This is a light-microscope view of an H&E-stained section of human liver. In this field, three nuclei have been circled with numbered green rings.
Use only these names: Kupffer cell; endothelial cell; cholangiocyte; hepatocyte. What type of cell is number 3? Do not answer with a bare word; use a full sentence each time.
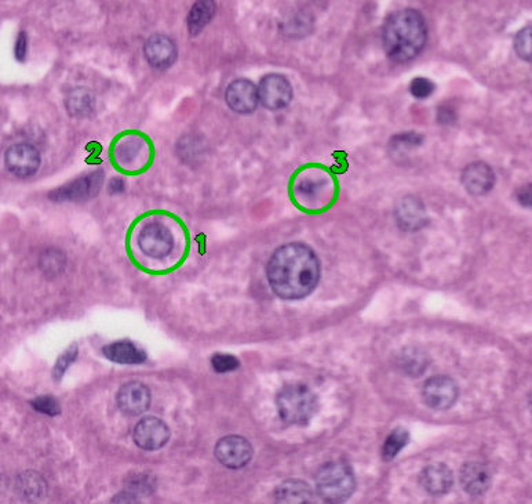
The nucleus with number 3 is that of an endothelial cell.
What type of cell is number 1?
The cell marked with number 1 is a hepatocyte.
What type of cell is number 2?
The cell indicated by marker 2 is a Kupffer cell in this section.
